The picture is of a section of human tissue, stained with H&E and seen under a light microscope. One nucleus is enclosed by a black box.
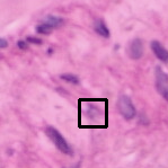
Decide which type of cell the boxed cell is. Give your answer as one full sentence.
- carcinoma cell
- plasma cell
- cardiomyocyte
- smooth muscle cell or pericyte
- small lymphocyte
In the stained section, the boxed cell is a smooth muscle cell or pericyte.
